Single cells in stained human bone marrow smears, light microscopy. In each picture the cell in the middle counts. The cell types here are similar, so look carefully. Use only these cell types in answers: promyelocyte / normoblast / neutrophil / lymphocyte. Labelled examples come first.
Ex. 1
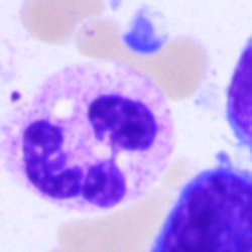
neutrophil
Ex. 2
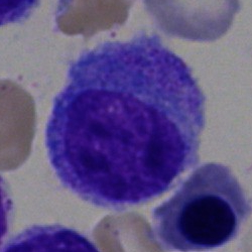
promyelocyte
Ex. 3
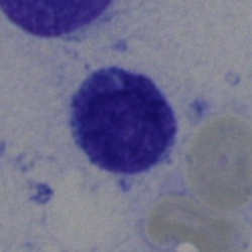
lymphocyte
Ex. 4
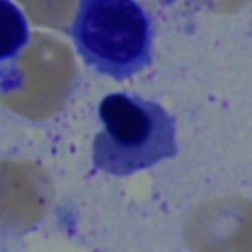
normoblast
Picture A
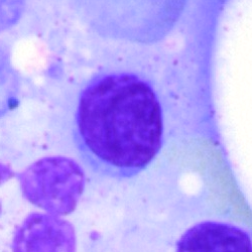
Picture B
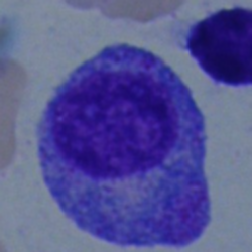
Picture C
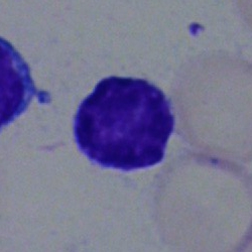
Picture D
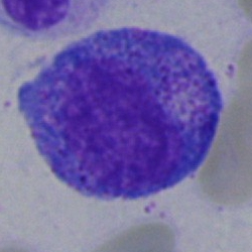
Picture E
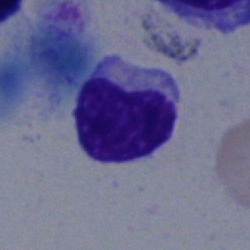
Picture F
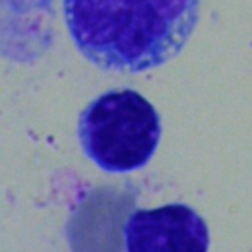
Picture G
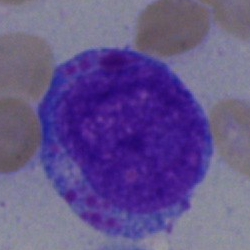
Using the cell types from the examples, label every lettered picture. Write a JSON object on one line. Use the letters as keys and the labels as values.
{"A": "lymphocyte", "B": "promyelocyte", "C": "lymphocyte", "D": "promyelocyte", "E": "lymphocyte", "F": "lymphocyte", "G": "promyelocyte"}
